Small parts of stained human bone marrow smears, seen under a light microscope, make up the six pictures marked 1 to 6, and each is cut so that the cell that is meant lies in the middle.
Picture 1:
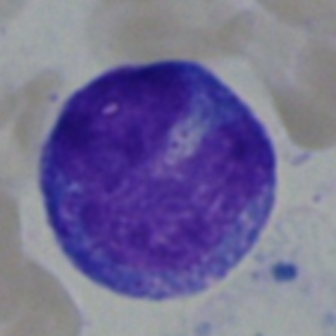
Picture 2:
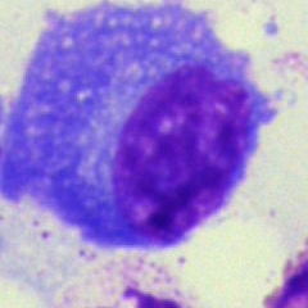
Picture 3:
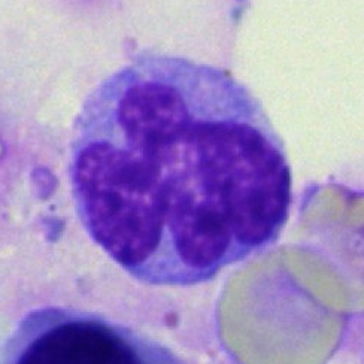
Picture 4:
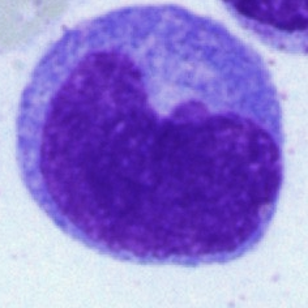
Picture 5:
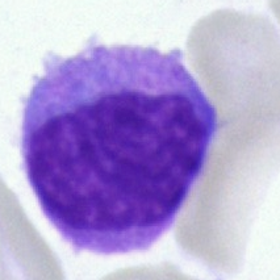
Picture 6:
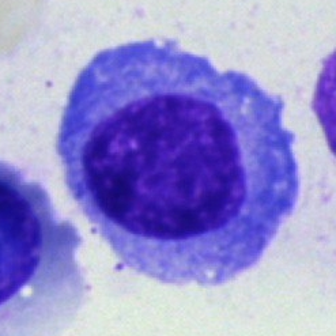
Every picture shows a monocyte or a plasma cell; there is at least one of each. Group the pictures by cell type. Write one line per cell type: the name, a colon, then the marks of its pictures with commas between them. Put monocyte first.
monocyte: 1, 3, 4, 5
plasma cell: 2, 6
